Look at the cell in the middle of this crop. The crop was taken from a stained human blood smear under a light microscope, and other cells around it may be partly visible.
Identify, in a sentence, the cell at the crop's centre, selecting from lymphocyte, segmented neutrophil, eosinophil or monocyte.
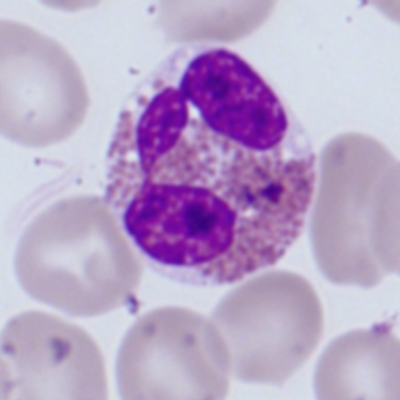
The middle cell in this particular crop is an eosinophil.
